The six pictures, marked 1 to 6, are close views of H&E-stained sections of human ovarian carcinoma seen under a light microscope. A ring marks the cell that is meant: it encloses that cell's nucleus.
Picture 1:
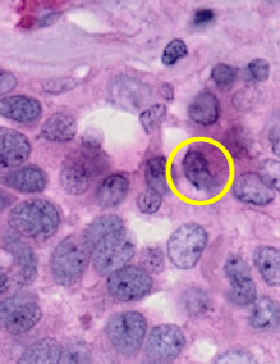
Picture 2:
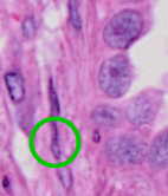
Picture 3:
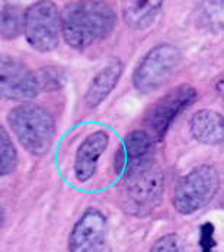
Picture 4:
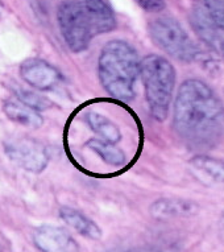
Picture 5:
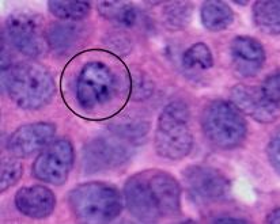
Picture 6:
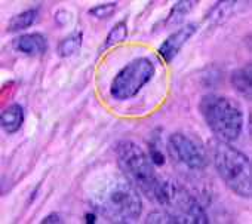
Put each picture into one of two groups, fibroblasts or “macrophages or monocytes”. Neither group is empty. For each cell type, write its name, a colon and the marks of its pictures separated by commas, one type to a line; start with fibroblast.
fibroblast: 2, 4
macrophage or monocyte: 1, 3, 5, 6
